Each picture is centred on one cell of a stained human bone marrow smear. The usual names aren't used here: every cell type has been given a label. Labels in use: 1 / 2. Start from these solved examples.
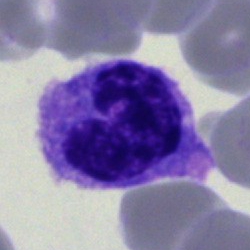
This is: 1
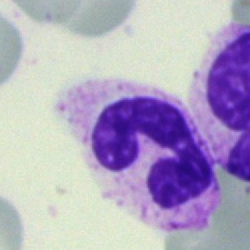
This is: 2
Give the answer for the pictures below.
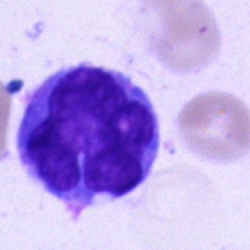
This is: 1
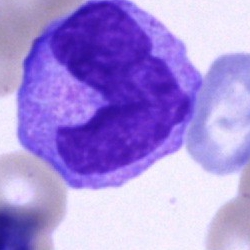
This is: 1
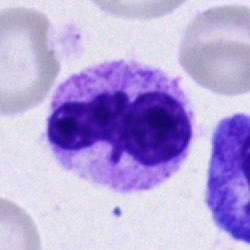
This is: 2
